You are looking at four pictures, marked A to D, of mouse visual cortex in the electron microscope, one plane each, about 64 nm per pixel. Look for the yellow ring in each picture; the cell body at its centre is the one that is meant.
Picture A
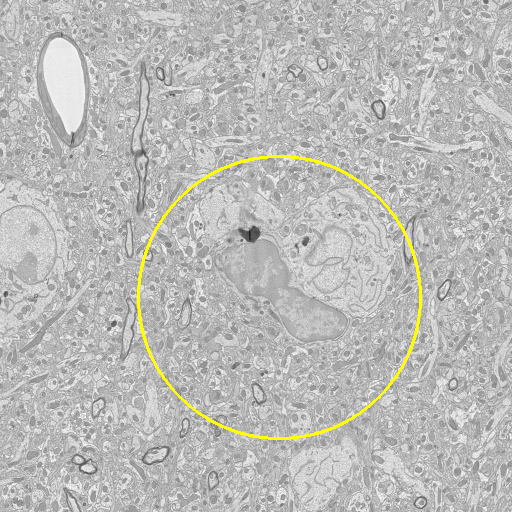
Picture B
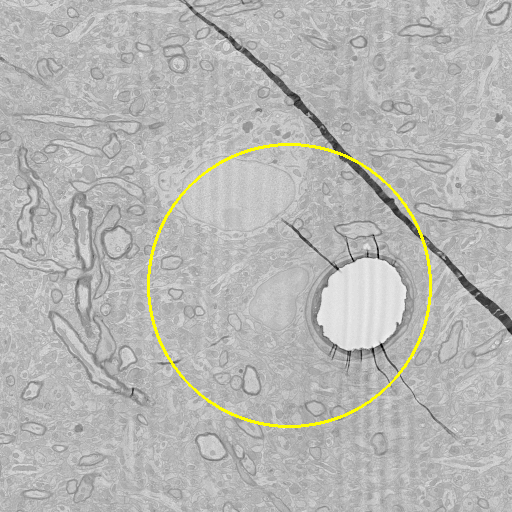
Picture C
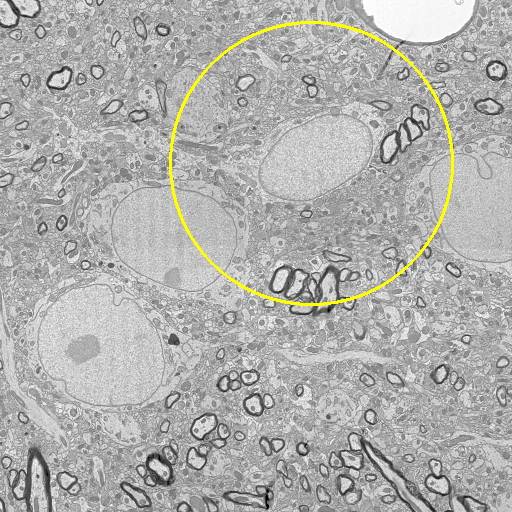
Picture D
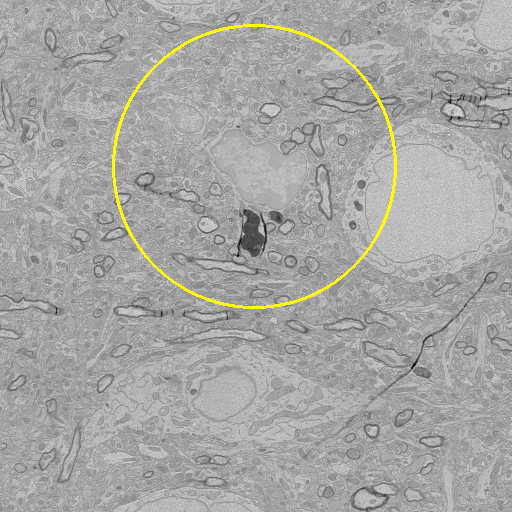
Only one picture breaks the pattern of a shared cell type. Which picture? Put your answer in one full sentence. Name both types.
All pictures except C show microglial cells; picture C shows an astrocyte.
